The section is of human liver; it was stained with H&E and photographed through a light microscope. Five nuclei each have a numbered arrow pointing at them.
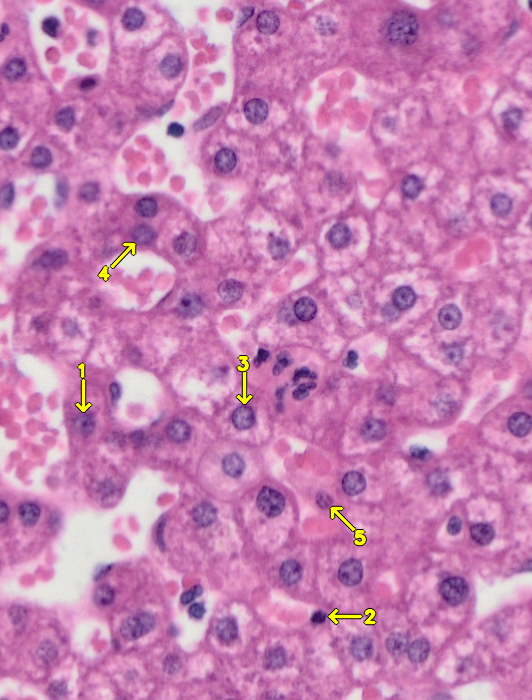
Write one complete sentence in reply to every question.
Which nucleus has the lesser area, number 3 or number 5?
It is nucleus 5; nucleus 3 has about 2 times its area.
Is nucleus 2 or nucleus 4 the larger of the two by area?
The larger nucleus is 4, at roughly 2 times the area of 2.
